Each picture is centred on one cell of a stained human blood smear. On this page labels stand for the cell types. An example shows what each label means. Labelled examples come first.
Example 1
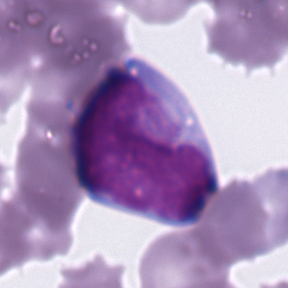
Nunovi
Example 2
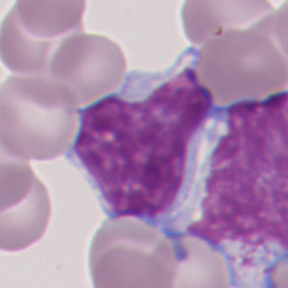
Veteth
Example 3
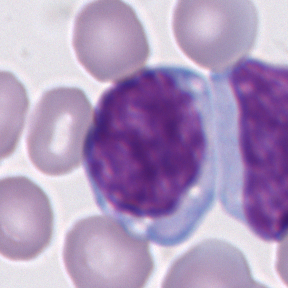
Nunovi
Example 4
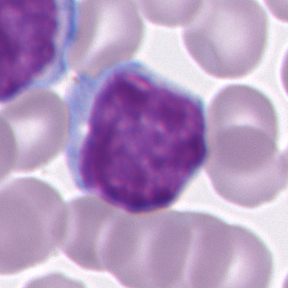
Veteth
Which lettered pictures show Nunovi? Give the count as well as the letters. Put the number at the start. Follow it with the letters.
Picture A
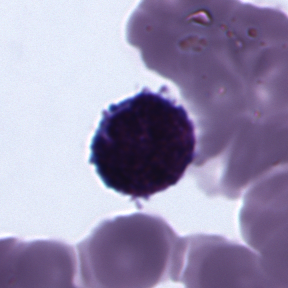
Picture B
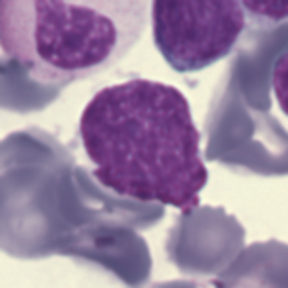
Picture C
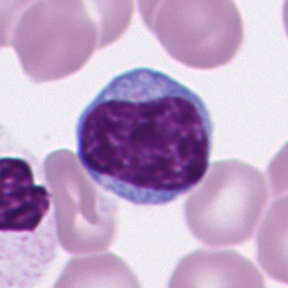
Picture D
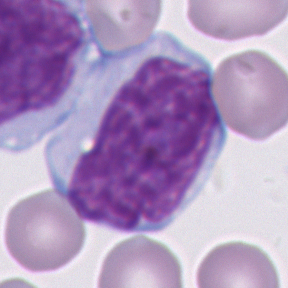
3: A, B, D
